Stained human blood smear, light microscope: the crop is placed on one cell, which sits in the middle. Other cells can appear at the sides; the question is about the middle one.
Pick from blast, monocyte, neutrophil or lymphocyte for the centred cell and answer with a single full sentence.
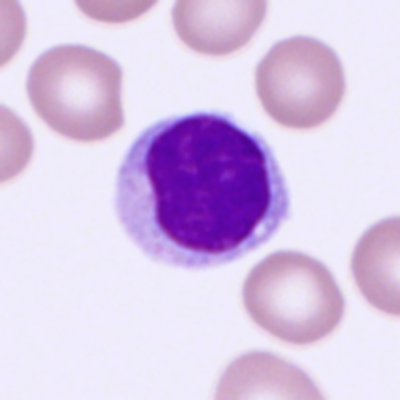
The cell sitting right in the middle is a lymphocyte.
